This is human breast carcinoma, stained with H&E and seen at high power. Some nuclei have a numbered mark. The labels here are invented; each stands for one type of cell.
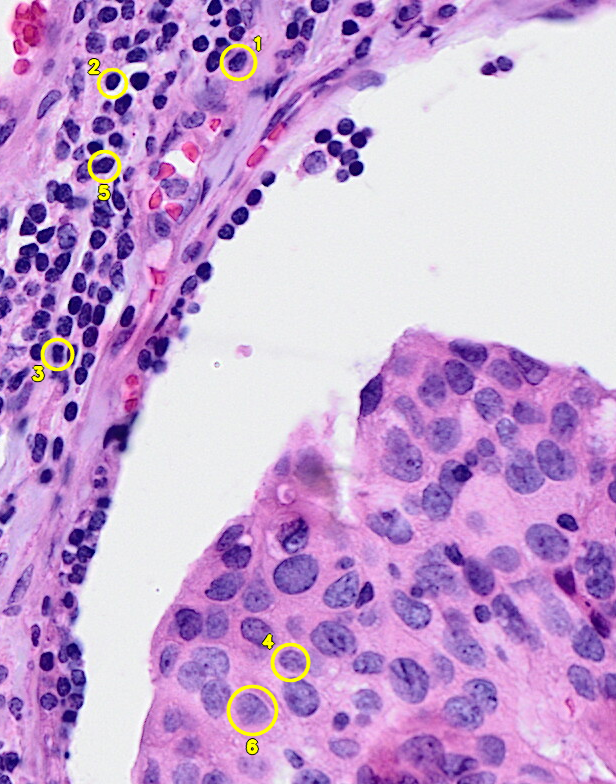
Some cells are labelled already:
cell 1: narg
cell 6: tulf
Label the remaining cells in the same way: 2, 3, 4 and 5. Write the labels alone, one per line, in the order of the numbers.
narg
narg
tulf
narg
